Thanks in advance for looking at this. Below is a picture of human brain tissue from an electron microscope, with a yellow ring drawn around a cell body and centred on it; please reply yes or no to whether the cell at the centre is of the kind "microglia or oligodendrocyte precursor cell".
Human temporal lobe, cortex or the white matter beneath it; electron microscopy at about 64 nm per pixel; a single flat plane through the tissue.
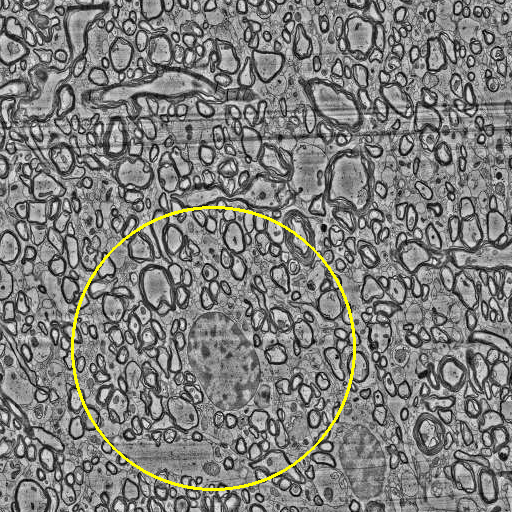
yes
